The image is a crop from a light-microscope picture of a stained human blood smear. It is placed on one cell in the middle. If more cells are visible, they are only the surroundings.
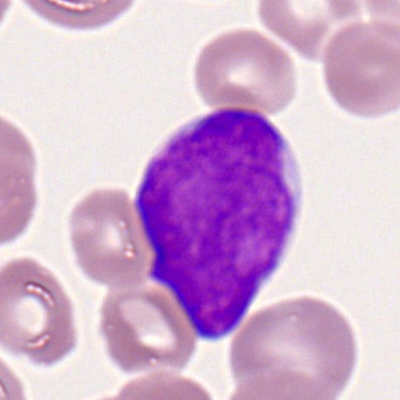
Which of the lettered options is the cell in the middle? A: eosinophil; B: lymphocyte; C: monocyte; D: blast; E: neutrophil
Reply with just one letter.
D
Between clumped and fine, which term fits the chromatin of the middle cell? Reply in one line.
The chromatin is fine; coarse clumps are not a feature here.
